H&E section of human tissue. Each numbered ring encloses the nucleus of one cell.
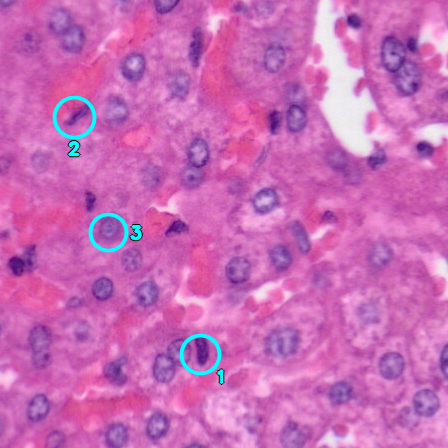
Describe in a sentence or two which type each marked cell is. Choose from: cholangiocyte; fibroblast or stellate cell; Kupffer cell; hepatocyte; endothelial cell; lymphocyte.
Cell 1 is a fibroblast or stellate cell. Cell 2 is an endothelial cell. Cell 3 is a hepatocyte.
